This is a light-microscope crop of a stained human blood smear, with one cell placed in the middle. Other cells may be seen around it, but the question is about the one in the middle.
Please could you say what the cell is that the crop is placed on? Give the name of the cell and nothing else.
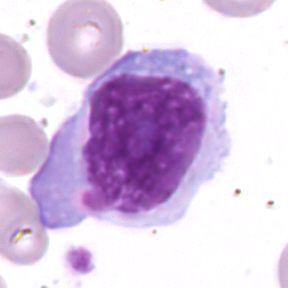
plasma cell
